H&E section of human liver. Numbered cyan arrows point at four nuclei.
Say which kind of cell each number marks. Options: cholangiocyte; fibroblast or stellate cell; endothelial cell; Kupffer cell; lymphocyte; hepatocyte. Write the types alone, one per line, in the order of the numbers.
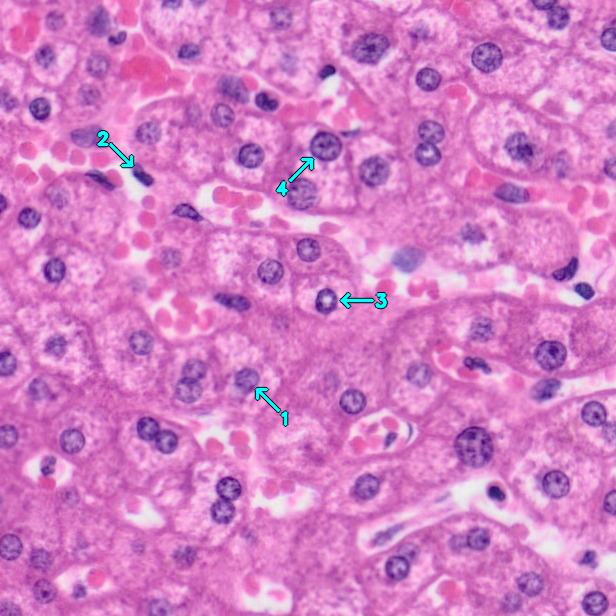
hepatocyte
lymphocyte
hepatocyte
hepatocyte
